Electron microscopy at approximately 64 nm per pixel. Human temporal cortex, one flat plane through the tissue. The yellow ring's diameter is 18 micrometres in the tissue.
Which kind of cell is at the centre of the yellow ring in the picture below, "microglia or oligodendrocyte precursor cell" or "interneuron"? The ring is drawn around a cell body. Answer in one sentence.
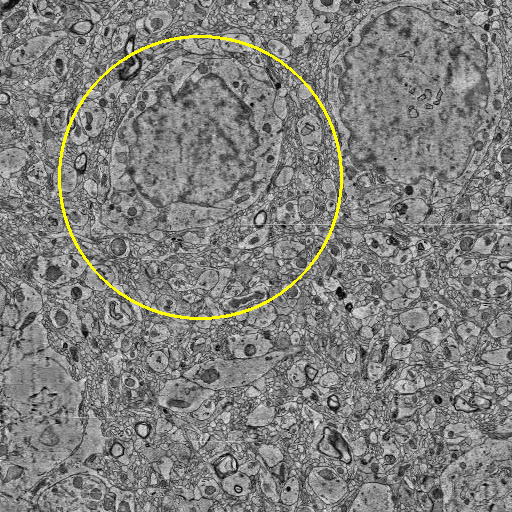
The ring's central cell is an interneuron.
